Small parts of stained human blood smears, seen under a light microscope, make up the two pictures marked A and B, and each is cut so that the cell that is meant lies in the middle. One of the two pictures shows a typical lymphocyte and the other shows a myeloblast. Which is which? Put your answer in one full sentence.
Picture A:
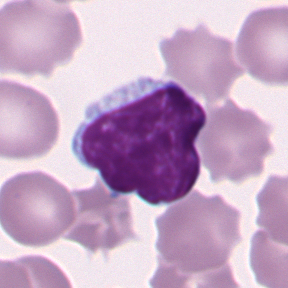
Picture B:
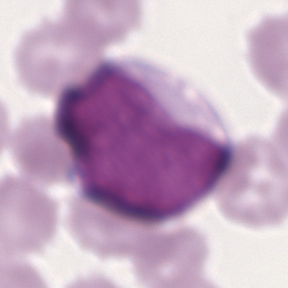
It is picture A that shows a typical lymphocyte, and picture B that shows a myeloblast.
